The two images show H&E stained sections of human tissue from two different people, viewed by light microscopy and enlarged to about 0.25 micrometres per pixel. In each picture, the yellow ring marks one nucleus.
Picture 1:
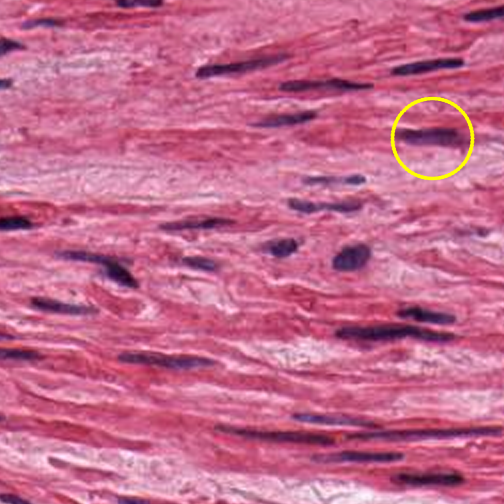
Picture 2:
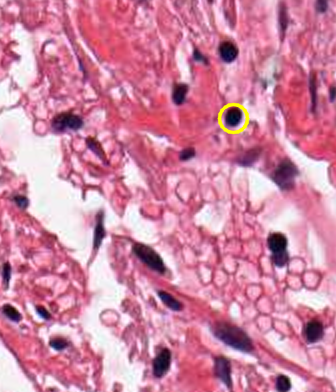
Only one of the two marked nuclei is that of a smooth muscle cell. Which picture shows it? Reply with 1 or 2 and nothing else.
1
